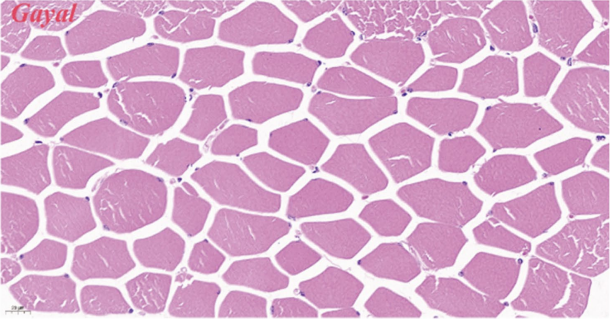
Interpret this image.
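This is skeletal muscle in cross-section, made up of pink, angular, polygonal muscle fibers that fit closely together in a mosaic. Narrow pale seams of connective tissue lie between neighbouring fibers. Small dark purple nuclei lie at the edges of the fibers rather than in their centres. A few fibers show thin pale clefts running through their pink cytoplasm.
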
